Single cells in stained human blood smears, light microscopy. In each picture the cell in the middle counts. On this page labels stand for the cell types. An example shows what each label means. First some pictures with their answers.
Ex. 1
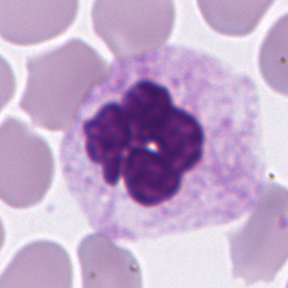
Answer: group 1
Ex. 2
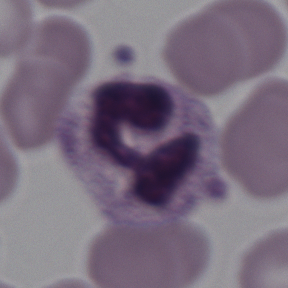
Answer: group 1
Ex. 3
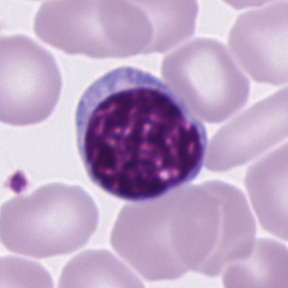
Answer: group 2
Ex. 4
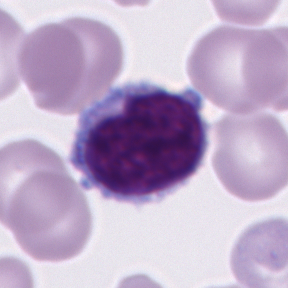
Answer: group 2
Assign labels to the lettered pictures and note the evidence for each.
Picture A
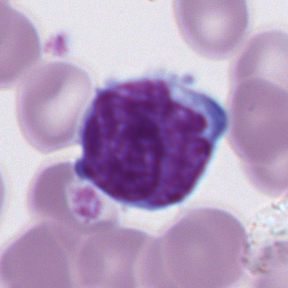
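Label: group 2. The cytoplasm forms a narrow rim that is widest at the upper right of the cell.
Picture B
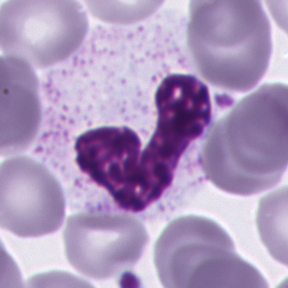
Label: group 1. The cytoplasm is abundant and very pale, widest on the upper-left side.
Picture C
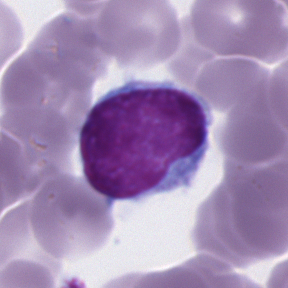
Label: group 2. The nucleus fills most of the cell.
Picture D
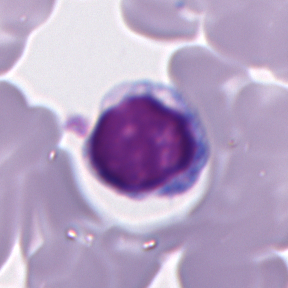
Label: group 2. The cytoplasm forms only a narrow rim around the nucleus.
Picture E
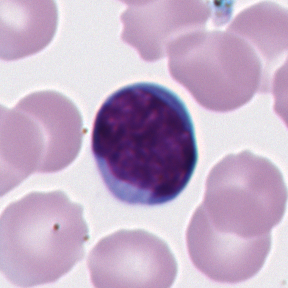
Label: group 2. The cytoplasm is scant, a thin rim that widens into a crescent at the lower left.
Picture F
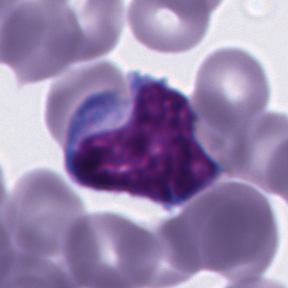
Label: group 2. The nucleus fills most of the cell.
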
